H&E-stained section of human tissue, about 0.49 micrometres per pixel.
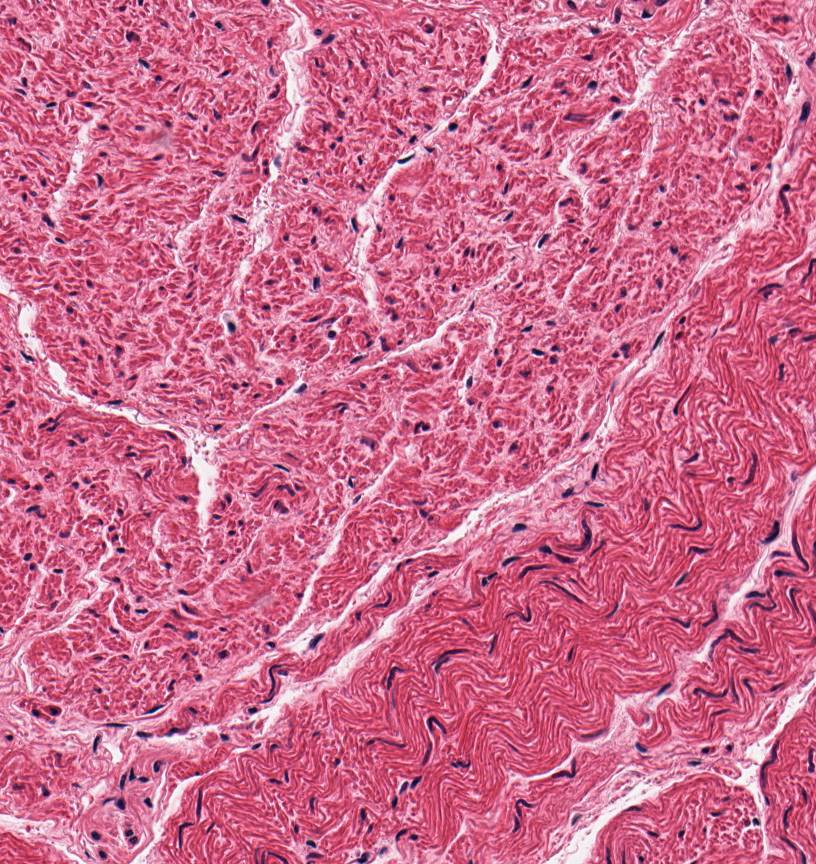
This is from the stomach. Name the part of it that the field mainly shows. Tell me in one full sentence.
The tissue part that this image captures is smooth muscle.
